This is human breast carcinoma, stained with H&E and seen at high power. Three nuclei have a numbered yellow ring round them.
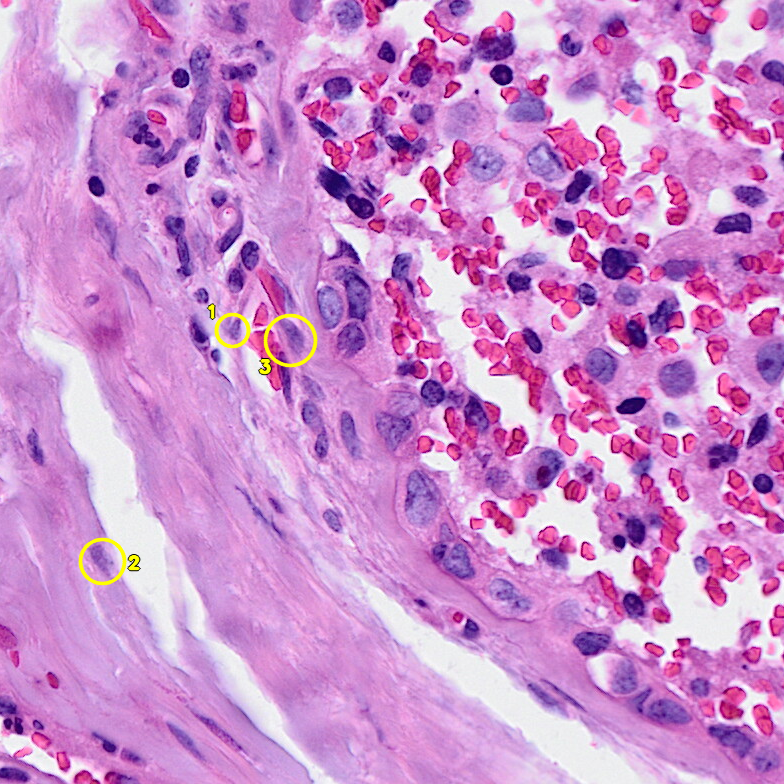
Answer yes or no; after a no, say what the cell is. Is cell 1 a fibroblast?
No, it is an endothelial cell.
